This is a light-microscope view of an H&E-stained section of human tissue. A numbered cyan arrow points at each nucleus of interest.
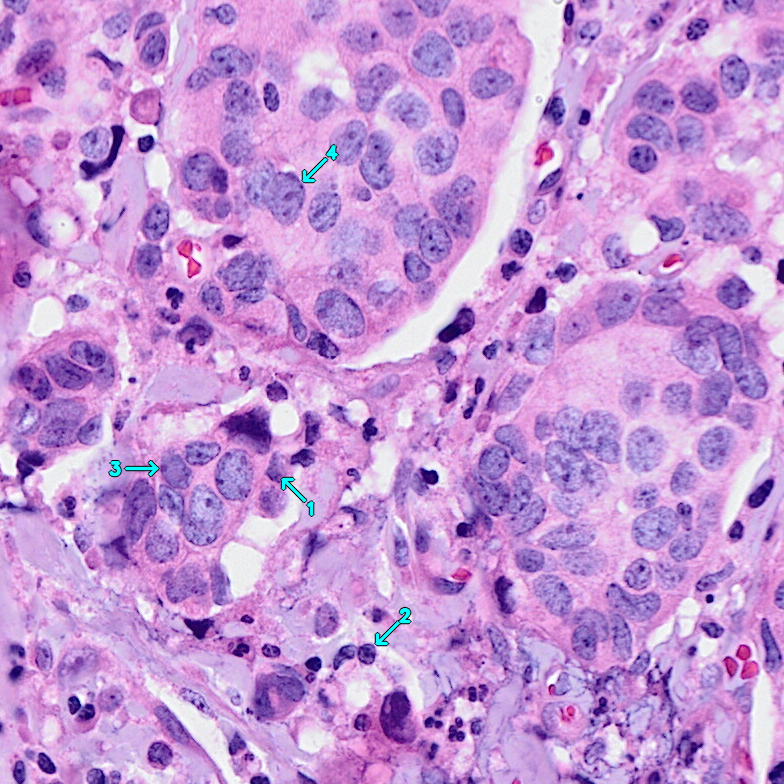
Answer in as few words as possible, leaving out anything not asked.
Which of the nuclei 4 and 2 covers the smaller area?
2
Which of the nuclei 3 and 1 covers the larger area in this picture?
3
